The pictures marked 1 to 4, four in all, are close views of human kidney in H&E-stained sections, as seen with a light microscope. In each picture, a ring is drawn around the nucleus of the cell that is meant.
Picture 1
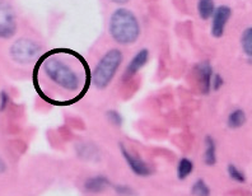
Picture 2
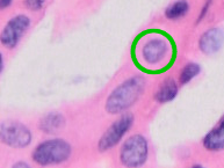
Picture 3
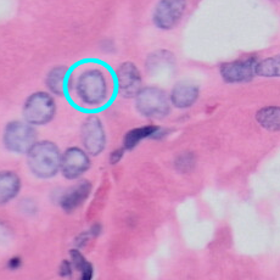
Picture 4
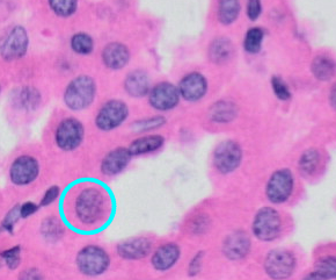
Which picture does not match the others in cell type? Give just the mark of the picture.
4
